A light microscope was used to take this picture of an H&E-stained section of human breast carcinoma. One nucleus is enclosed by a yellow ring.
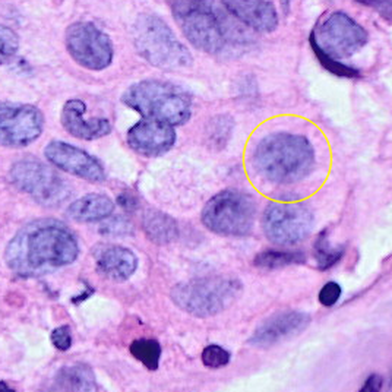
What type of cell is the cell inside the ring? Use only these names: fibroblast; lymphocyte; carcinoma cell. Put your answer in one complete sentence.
In this section, the cell inside the ring is a carcinoma cell.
